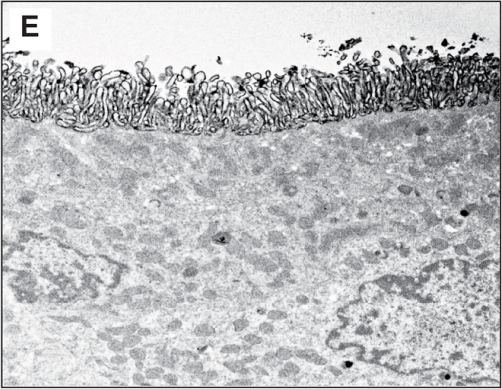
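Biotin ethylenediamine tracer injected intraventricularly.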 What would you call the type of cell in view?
Epithelial cells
